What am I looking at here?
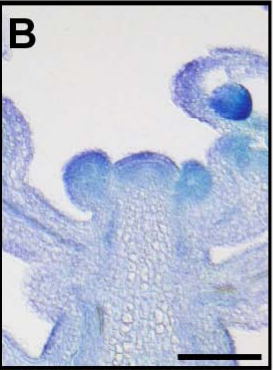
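This longitudinal section of an inflorescence tip shows a low dome of small, tightly packed cells at the apex, with rounded primordia of deeper blue-staining cells budding off on either side. Below the dome, the cells grow larger and paler and line up in files down the central stem. Older organs with curved outlines wrap around the apex at the edges.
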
